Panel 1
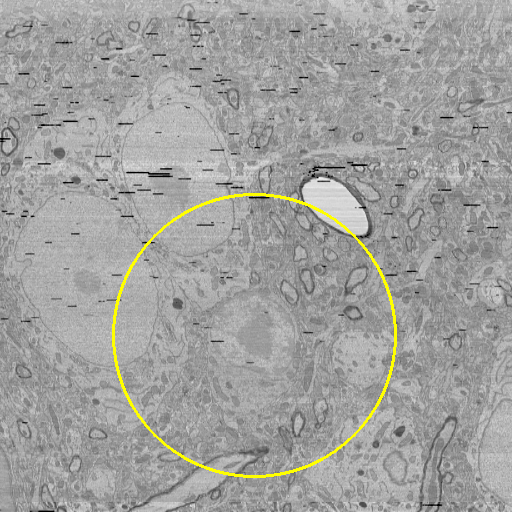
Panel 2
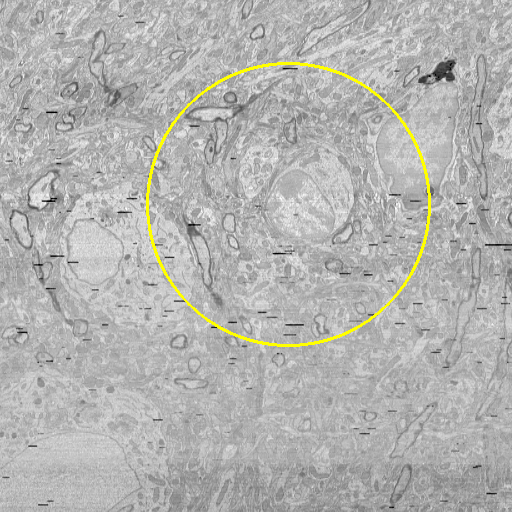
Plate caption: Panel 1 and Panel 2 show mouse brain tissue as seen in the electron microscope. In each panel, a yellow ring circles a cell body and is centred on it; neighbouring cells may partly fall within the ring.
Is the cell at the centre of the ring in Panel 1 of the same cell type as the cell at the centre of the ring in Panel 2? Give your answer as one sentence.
Yes, the two cells are of the same type.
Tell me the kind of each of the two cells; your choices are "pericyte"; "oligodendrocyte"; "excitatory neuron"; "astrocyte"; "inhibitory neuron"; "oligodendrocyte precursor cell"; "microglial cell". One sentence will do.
Each cell, in the first picture and the second, is an oligodendrocyte.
